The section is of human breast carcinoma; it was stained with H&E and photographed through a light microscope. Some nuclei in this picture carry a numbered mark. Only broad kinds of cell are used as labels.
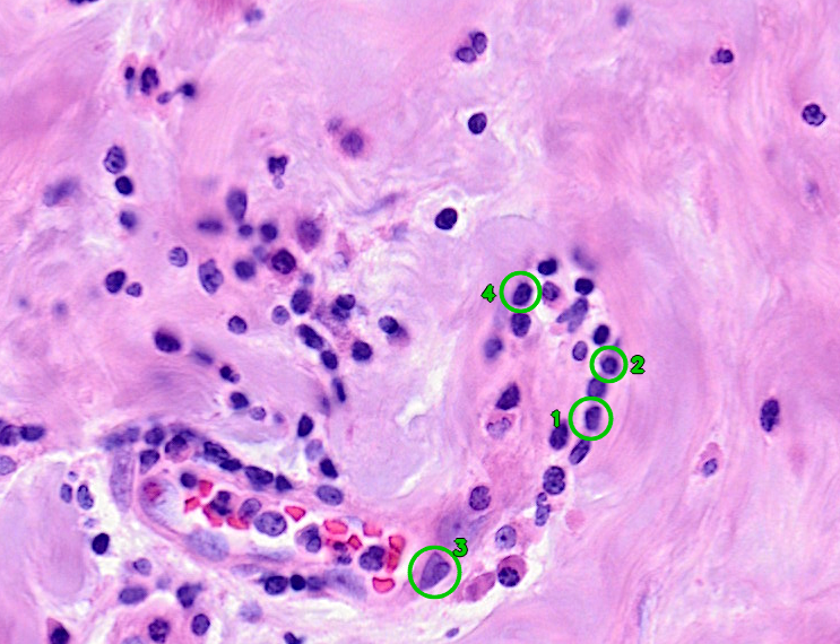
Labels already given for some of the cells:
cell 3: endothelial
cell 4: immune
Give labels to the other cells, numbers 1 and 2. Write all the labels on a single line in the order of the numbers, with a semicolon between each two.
immune; immune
